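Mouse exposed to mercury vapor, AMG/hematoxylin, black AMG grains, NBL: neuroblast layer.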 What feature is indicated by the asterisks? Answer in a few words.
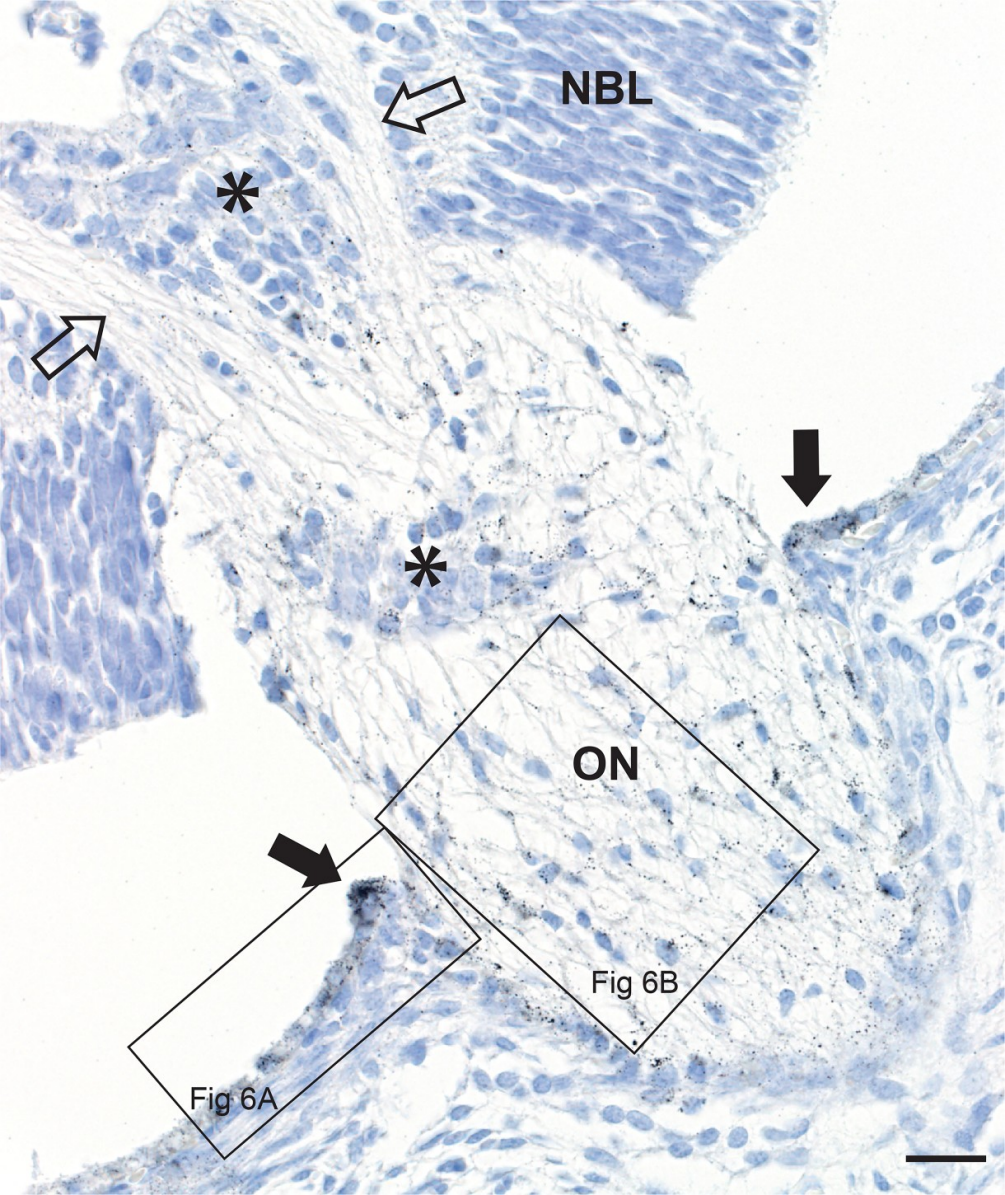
Remnants of hyaloid blood vessels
